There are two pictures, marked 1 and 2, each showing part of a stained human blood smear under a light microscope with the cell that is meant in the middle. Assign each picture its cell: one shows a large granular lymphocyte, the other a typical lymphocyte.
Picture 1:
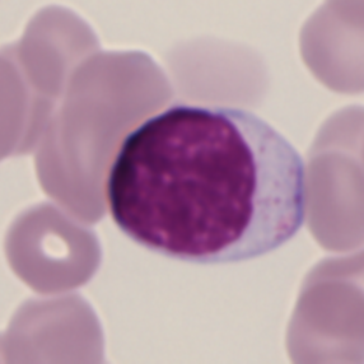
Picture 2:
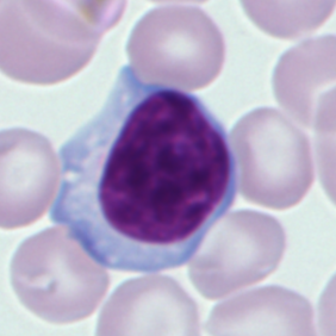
1: large granular lymphocyte
2: typical lymphocyte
